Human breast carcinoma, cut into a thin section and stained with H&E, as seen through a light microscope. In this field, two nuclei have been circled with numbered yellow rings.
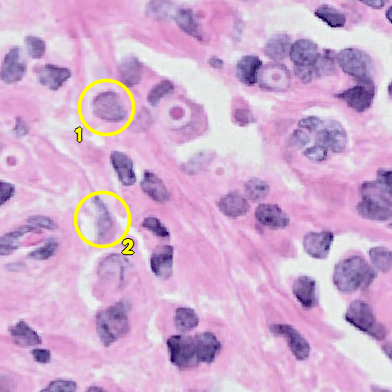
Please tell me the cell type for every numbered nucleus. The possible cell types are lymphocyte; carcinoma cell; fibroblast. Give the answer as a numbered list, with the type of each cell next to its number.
1. carcinoma cell
2. fibroblast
